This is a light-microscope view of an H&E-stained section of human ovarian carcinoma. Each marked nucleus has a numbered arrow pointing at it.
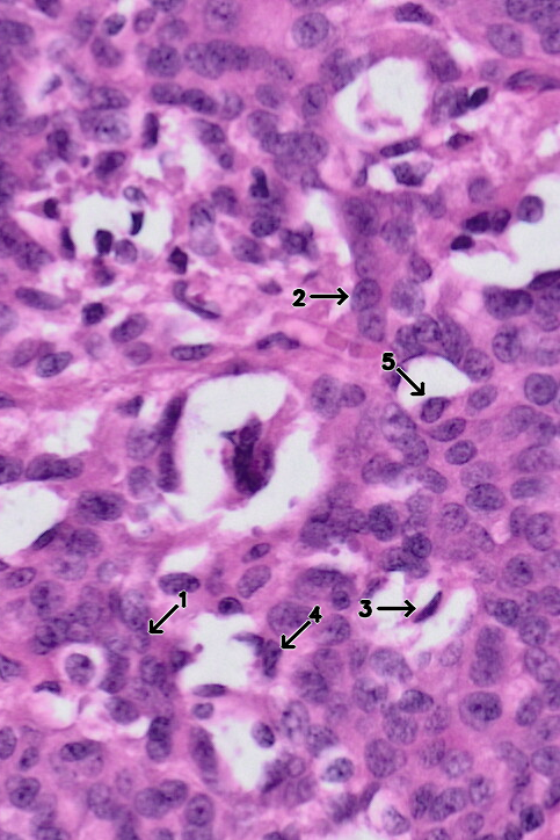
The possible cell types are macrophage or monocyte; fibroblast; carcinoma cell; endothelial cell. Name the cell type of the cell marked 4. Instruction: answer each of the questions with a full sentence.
Within this field of view, the cell labelled 4 is a macrophage or monocyte.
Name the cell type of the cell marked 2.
The identity of cell 2 is that of a carcinoma cell.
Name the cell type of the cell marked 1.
Here, the cell given the number 1 is a carcinoma cell.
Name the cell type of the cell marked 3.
Cell 3 should be recorded as a carcinoma cell.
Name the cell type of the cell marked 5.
Cell 5 of the marked set is a macrophage or monocyte.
